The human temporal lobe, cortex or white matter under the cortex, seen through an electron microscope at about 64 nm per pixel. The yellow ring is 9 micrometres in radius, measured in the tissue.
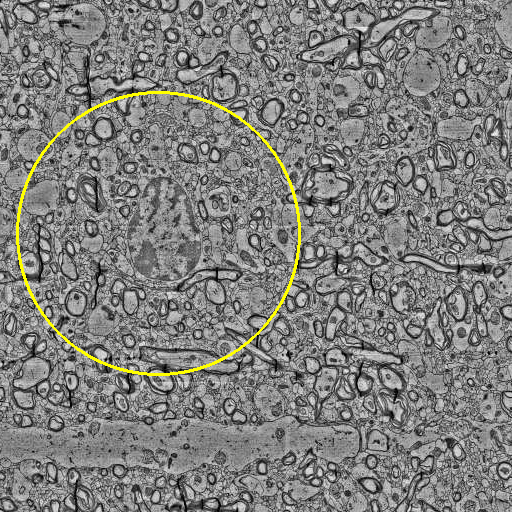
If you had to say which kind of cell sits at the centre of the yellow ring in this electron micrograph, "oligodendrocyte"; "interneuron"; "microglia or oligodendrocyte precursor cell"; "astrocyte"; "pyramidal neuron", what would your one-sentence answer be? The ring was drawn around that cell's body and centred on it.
The cell sitting at the centre of the ring is a microglial cell or oligodendrocyte precursor cell.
